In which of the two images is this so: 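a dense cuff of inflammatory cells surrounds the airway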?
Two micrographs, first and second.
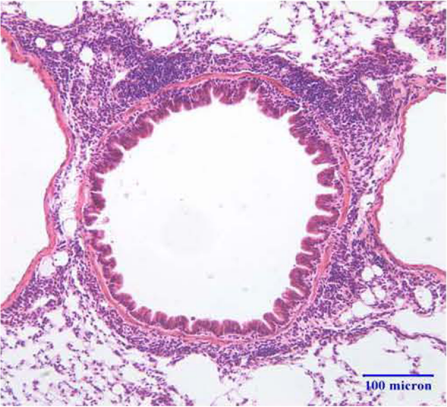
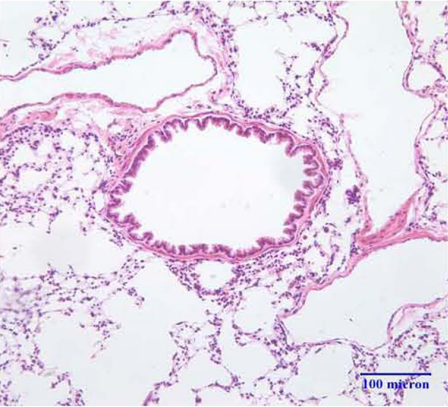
The first image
